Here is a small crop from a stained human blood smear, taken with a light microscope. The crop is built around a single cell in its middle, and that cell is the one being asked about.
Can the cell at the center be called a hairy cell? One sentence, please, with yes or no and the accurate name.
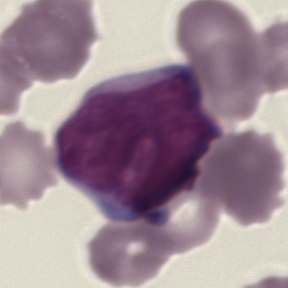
No, the central cell is classed as a myeloblast, not a hairy cell.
